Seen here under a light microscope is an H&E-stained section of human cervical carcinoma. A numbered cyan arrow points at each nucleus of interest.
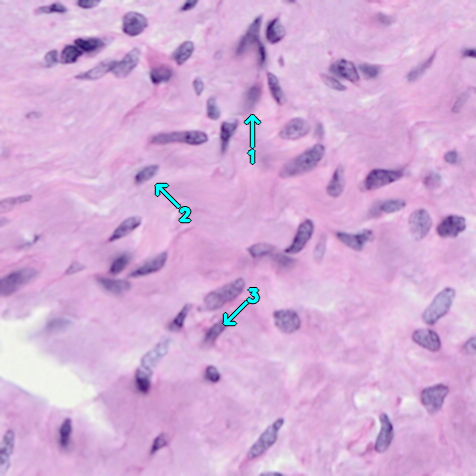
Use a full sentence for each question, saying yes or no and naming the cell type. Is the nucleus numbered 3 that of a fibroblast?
No, number 3 belongs to a smooth muscle cell, not to a fibroblast.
